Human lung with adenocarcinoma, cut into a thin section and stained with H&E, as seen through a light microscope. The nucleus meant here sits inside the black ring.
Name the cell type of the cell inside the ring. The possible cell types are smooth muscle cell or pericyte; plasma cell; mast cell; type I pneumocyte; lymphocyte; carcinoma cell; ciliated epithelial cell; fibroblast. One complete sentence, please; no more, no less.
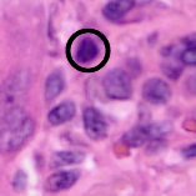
Cell type answer for this item: the cell inside the ring is a plasma cell.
